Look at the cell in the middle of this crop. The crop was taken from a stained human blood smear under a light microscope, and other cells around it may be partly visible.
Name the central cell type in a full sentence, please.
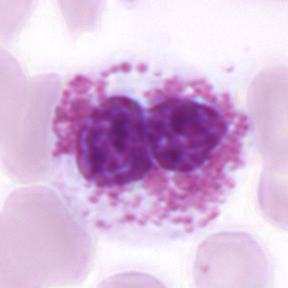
Classified as an eosinophil is the cell in the middle of this crop.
